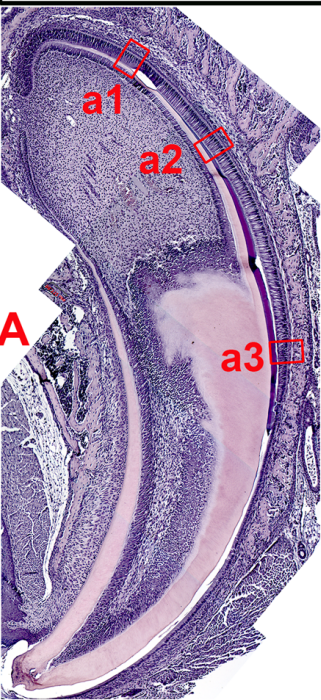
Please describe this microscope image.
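This is a sagittal section through a continuously growing rodent incisor, showing the curved tooth with its central pulp of loosely packed cells. Surrounding connective tissue and bone-like tissue enclose the tooth. Boxed regions mark successive stages along the ameloblast layer from the growing end toward the erupting end.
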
